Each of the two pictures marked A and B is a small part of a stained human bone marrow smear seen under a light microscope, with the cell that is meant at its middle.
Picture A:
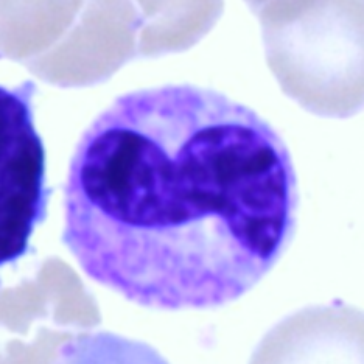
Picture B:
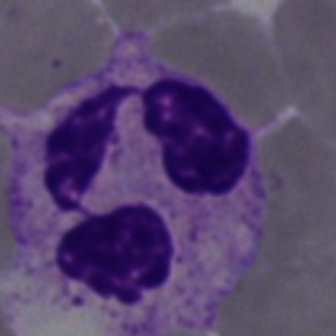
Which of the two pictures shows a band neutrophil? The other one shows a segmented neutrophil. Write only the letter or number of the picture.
A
